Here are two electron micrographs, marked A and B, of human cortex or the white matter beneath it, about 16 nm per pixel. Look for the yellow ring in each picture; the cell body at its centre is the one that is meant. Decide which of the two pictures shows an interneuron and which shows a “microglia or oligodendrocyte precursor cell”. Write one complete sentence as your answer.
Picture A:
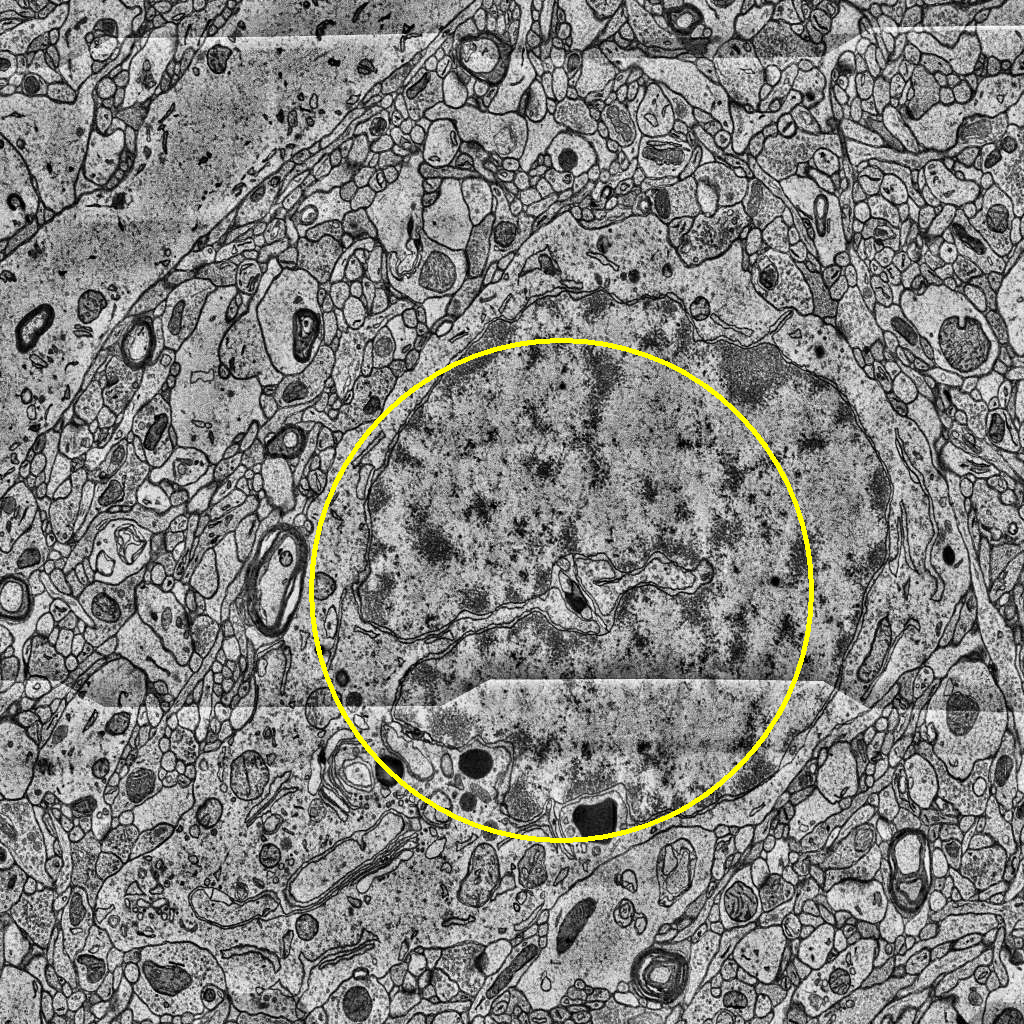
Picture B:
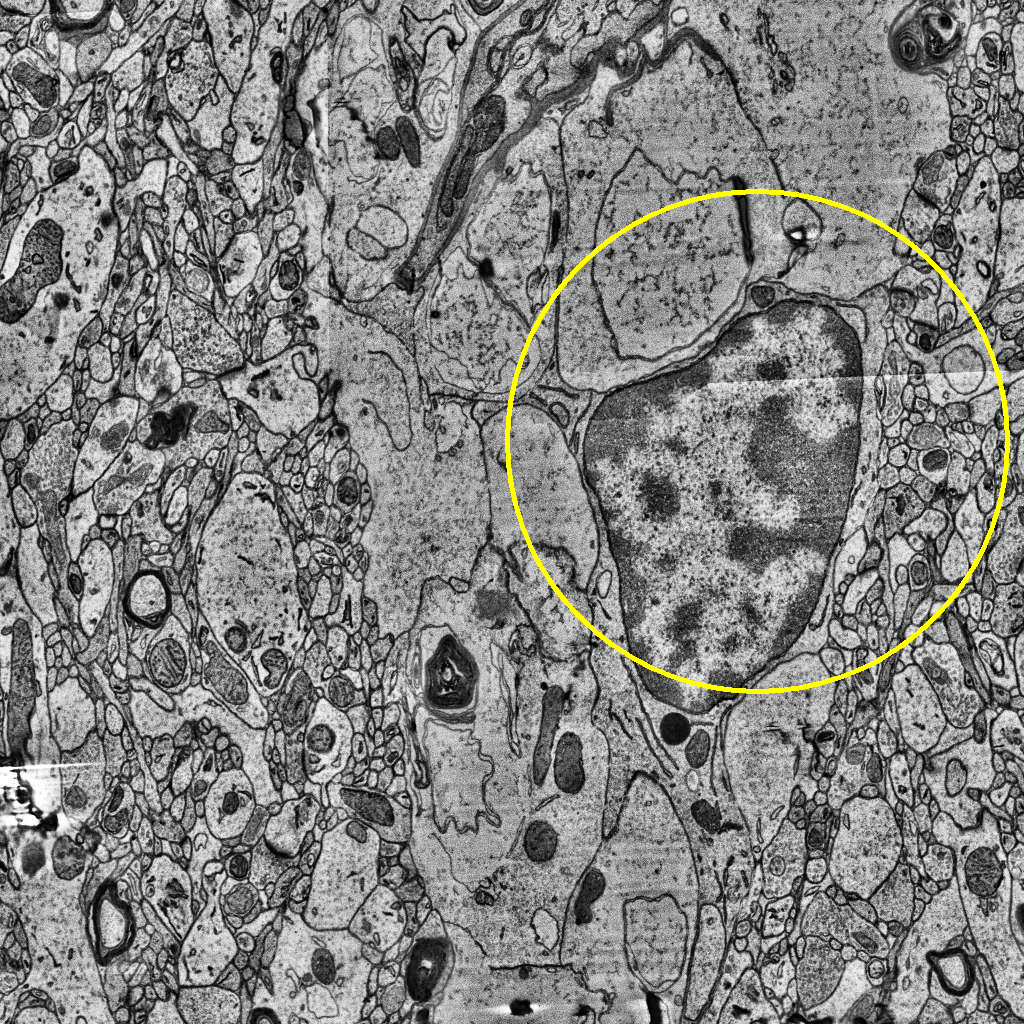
Picture A is of an interneuron, and picture B is of a “microglia or oligodendrocyte precursor cell”.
